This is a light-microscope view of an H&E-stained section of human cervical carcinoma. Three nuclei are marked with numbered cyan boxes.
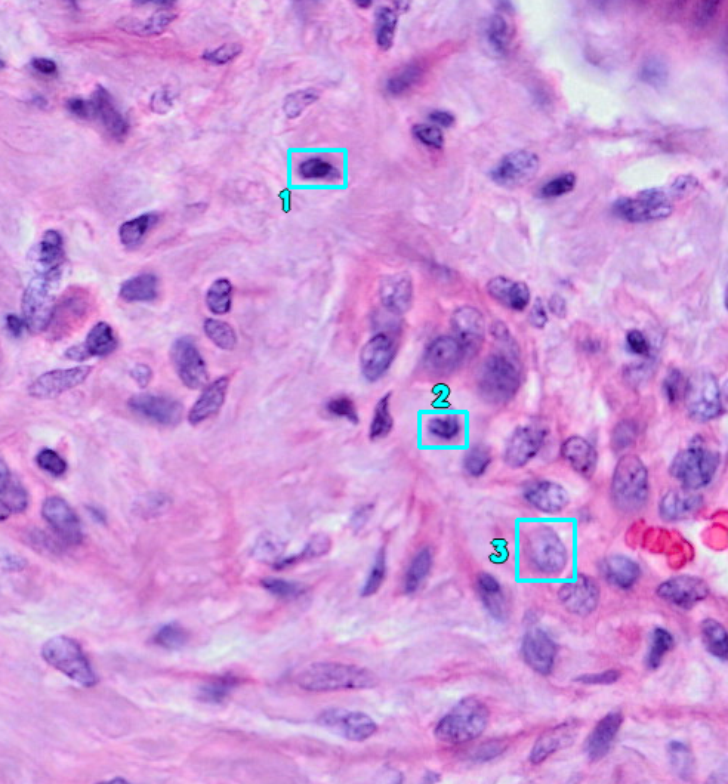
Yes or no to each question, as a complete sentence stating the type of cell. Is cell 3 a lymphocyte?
No, it is an endothelial cell, not a lymphocyte, at number 3.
